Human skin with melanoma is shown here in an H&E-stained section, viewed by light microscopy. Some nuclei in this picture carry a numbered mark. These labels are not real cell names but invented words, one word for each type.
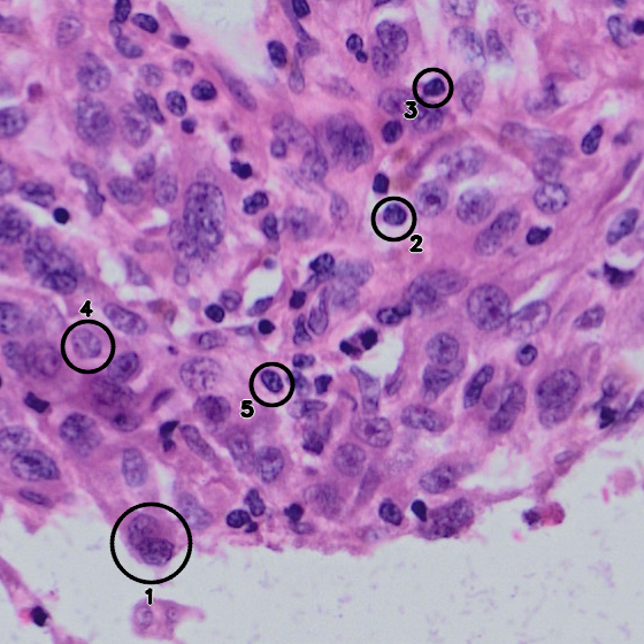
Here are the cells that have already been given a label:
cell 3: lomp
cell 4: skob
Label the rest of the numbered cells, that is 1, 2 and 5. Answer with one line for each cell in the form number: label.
1: skob
2: lomp
5: lomp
